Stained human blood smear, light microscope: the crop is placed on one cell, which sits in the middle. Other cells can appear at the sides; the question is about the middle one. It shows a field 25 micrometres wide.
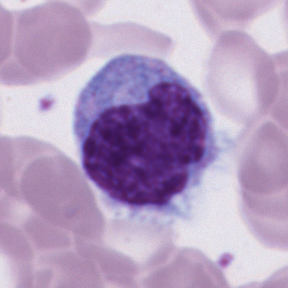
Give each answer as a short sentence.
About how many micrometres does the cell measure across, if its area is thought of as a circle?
Taken as a circle, the cell has a diameter of about 13 micrometres.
